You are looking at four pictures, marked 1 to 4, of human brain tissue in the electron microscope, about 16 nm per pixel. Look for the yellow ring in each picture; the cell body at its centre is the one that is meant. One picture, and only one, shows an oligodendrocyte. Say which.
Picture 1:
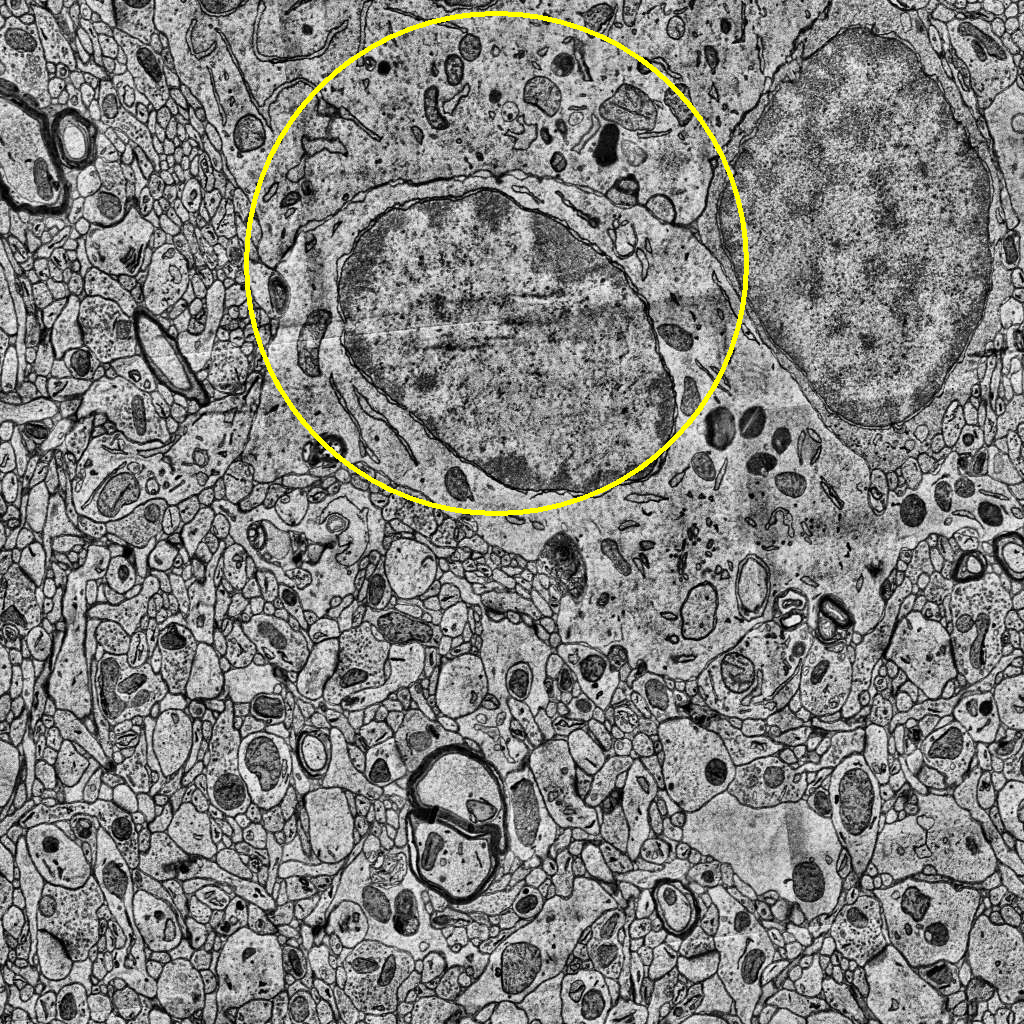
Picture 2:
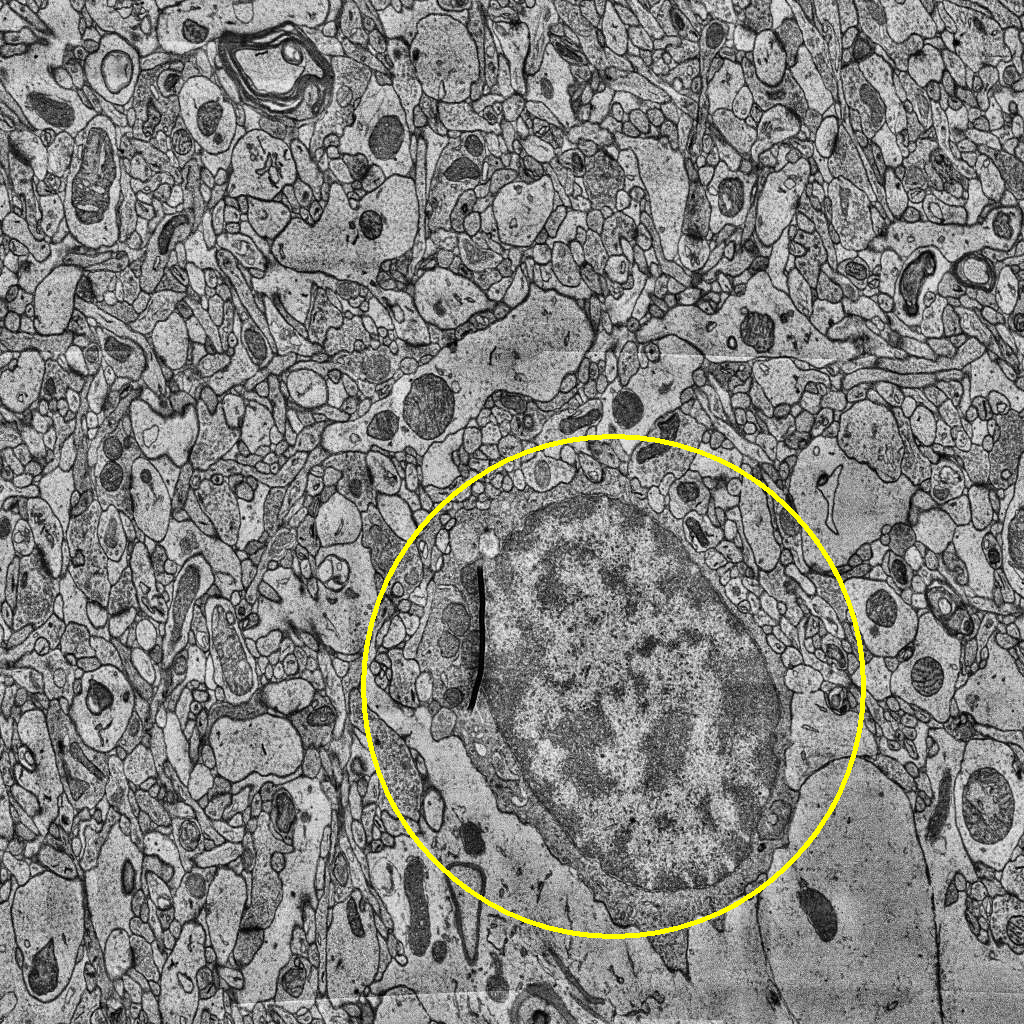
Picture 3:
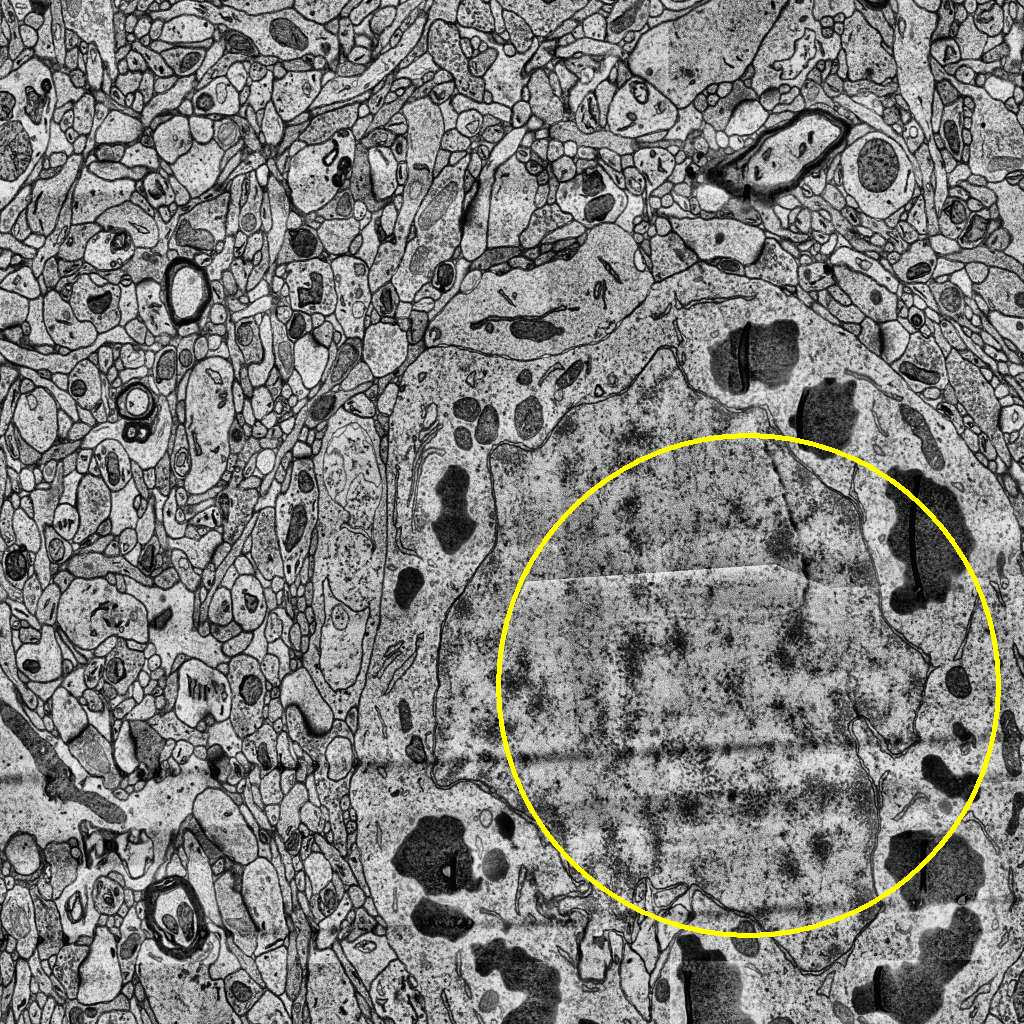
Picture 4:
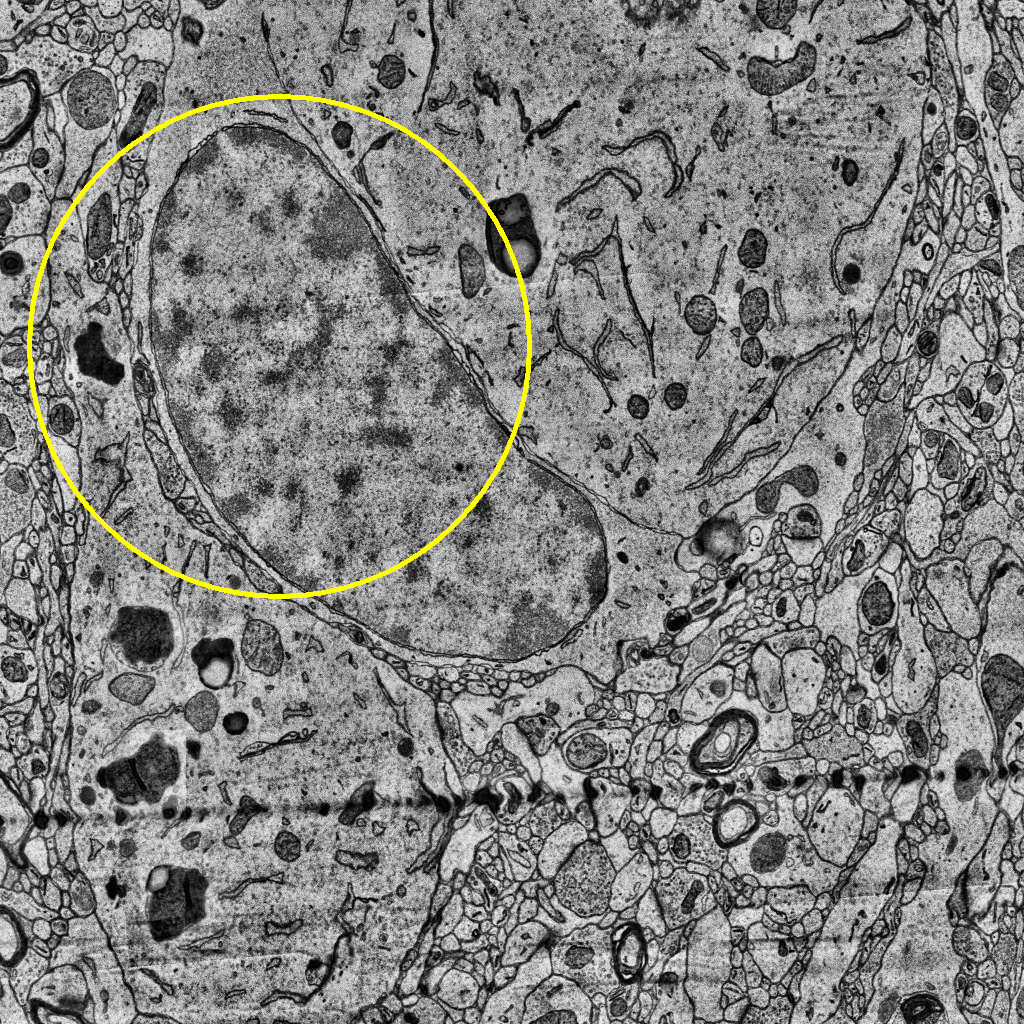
The picture with the oligodendrocyte is 2.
